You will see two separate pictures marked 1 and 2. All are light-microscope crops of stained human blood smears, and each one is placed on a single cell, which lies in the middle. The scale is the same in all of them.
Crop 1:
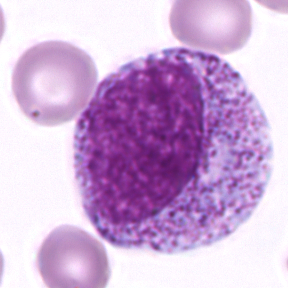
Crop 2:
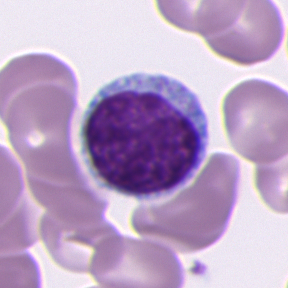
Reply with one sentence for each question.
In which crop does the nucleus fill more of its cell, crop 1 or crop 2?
Of the two, the nucleus in crop 2 makes up the greater part of its cell.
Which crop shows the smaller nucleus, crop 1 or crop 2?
It is the nucleus in crop 2; the one in crop 1 has about 1.5 times its area.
